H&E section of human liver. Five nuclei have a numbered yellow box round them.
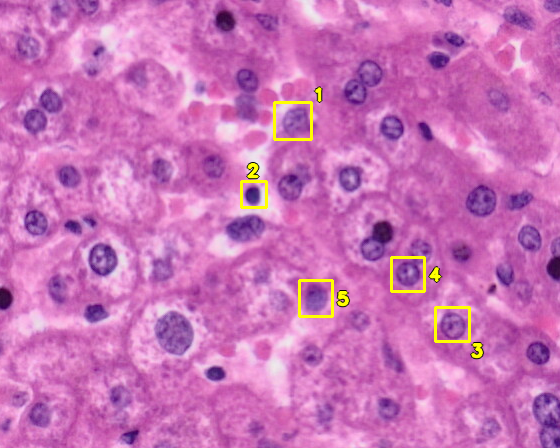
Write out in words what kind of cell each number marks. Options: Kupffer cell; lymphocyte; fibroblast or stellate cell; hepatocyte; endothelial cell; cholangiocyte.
Cell 1 is a Kupffer cell, cell 2 is a lymphocyte, cell 3 is a hepatocyte, cell 4 is a hepatocyte and cell 5 is an endothelial cell.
